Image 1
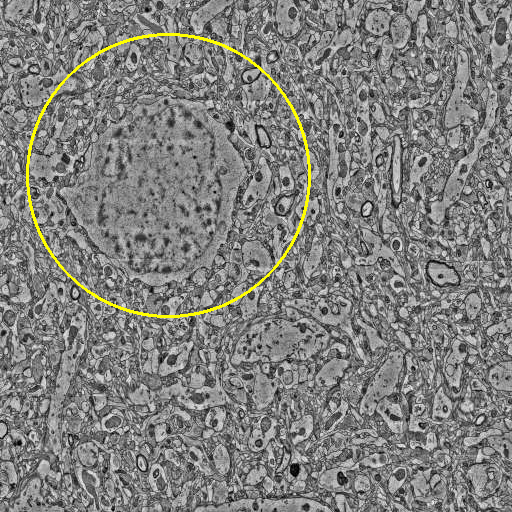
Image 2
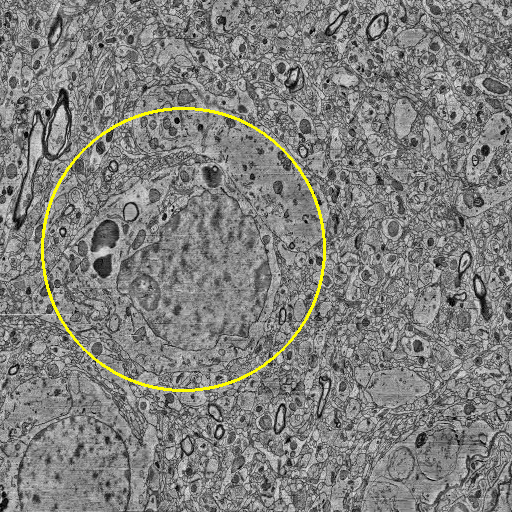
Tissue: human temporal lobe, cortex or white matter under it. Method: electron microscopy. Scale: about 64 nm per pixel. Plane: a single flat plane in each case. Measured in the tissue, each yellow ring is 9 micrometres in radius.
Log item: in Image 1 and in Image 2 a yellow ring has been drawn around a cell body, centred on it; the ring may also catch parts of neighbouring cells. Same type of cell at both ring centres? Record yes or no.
yes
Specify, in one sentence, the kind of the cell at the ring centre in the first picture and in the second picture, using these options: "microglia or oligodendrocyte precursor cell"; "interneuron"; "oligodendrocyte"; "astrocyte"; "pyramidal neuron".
Each cell at the centre of a ring is an interneuron.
